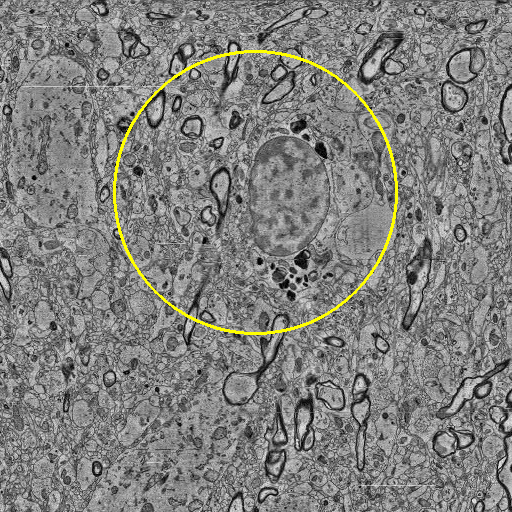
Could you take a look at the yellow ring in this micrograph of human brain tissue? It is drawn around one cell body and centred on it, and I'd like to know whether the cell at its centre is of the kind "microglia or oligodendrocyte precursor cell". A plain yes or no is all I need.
yes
